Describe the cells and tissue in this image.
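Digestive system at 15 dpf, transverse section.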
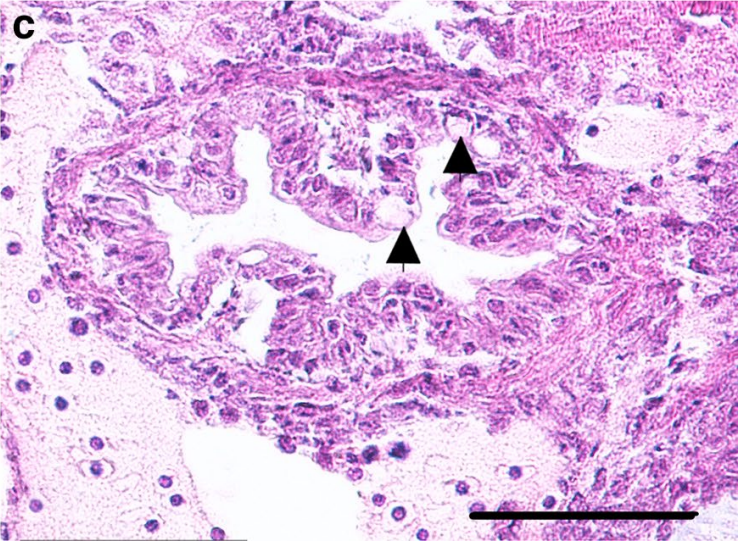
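A tube cut across shows an irregular lumen bordered by folds of a multilayered epithelium with crowded purple nuclei, surrounded by a band of elongated cells in a ring. Within the epithelium facing the lumen lie a few cells with pale, clear cytoplasm, goblet cells, and the folded lining fits the esophagus.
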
